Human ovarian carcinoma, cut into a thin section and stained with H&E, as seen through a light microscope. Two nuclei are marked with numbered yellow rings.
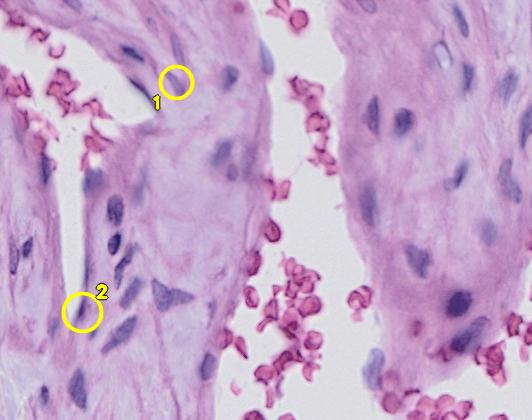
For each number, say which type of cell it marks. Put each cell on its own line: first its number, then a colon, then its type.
1: smooth muscle cell
2: endothelial cell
